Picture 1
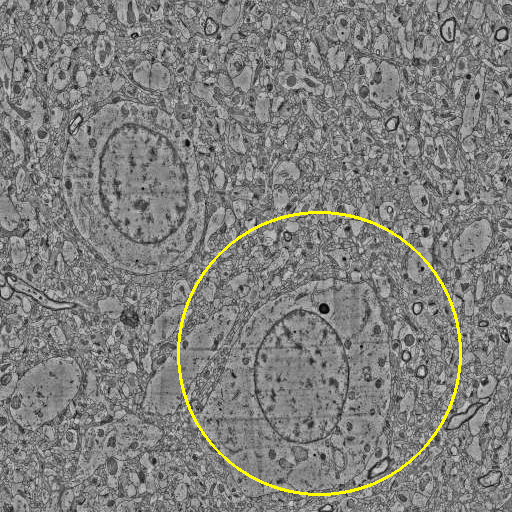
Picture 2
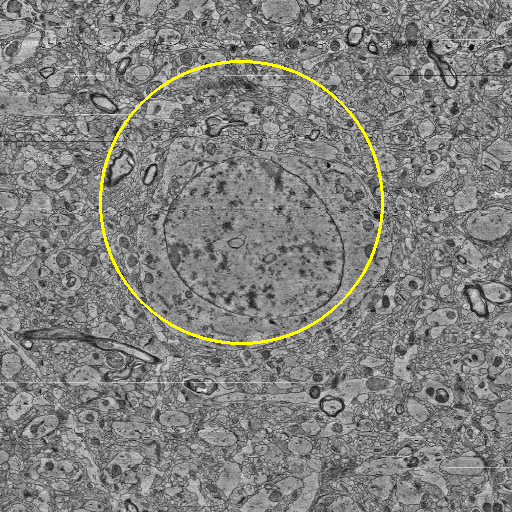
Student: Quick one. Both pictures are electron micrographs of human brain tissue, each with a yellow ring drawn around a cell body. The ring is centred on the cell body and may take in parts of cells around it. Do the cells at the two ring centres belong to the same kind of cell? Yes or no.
yes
